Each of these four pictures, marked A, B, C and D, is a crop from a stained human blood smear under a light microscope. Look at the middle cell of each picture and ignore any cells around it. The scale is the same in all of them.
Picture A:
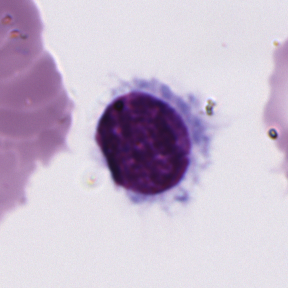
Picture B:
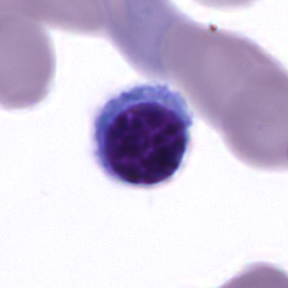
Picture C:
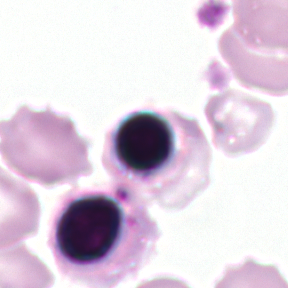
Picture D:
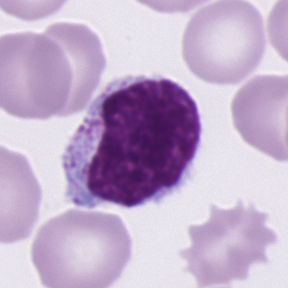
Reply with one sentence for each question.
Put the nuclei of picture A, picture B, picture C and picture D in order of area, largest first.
The order is D, A, B, C, beginning with the largest.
